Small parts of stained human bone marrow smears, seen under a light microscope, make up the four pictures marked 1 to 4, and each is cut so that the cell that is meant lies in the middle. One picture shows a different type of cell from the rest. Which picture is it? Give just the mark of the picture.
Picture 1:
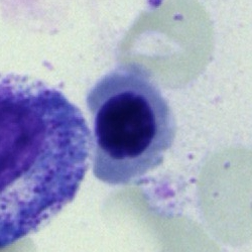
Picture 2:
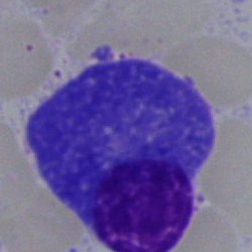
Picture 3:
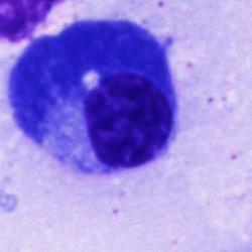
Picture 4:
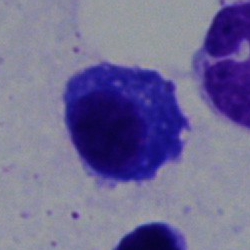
1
